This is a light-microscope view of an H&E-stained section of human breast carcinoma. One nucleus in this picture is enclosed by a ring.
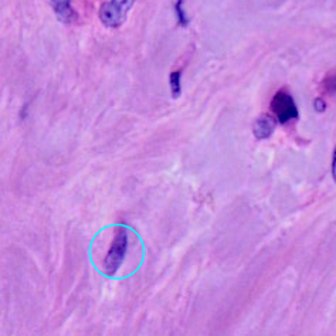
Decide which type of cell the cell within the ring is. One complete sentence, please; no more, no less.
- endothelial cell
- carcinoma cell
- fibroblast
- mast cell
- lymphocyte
Within this tissue, the cell within the ring is a fibroblast.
